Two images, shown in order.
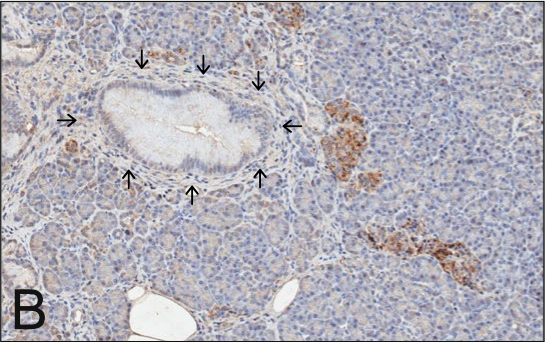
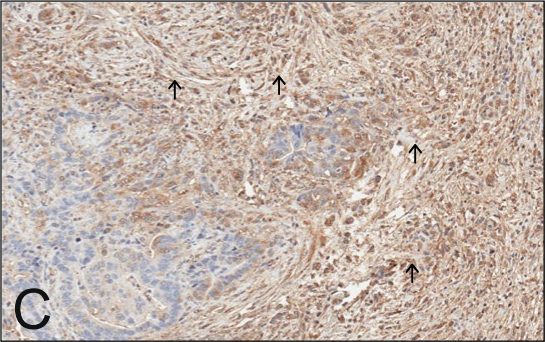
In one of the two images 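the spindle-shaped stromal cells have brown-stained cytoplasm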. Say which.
the second image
